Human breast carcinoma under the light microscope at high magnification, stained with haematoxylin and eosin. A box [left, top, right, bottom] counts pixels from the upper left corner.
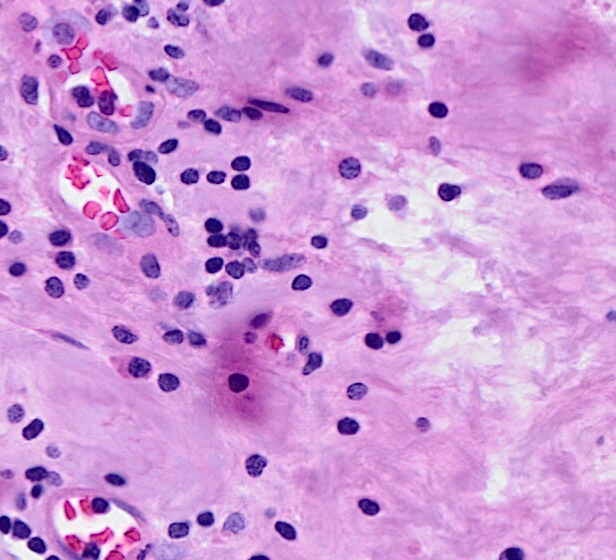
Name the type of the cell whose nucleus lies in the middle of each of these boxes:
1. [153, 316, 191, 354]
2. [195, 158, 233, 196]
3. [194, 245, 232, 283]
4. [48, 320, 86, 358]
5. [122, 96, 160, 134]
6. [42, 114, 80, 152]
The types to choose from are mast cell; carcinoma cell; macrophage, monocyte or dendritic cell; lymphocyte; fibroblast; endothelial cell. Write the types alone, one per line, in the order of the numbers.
lymphocyte
lymphocyte
lymphocyte
fibroblast
endothelial cell
lymphocyte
